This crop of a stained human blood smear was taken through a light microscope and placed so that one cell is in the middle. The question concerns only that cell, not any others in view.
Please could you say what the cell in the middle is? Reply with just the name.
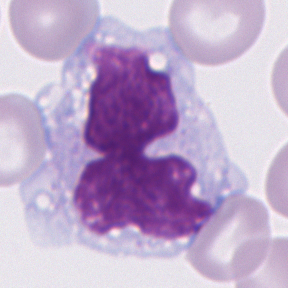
monocyte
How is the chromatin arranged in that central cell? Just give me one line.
Coarse clumps are absent, and the chromatin is fine throughout.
